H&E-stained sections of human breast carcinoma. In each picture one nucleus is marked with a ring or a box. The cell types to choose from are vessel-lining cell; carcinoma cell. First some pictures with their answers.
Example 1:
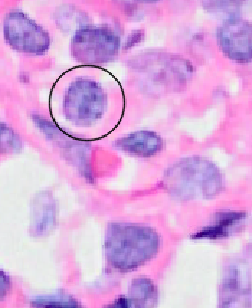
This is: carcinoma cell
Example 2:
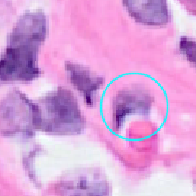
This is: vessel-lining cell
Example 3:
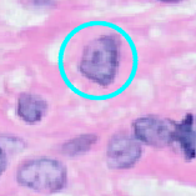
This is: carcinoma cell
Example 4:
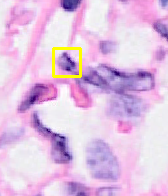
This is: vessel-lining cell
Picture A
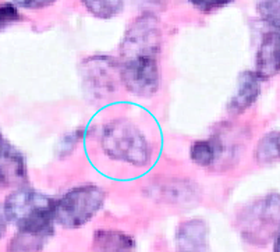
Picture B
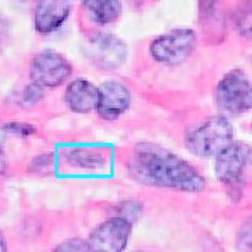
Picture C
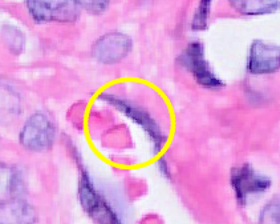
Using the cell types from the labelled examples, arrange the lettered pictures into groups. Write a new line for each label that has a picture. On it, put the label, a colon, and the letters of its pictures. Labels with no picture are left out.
vessel-lining cell: B, C
carcinoma cell: A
